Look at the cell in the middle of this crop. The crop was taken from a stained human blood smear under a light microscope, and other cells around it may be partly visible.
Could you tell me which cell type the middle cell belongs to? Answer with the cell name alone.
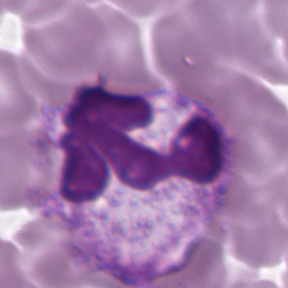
segmented neutrophil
